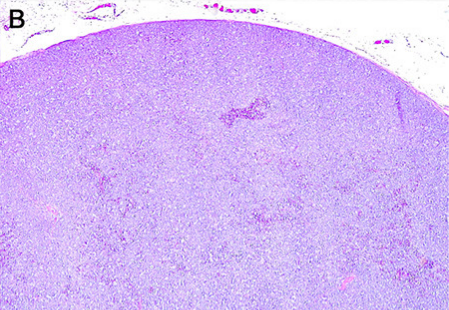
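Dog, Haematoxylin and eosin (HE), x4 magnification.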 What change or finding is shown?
Sheets of densely packed neoplastic cells effacing the entire lymph node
